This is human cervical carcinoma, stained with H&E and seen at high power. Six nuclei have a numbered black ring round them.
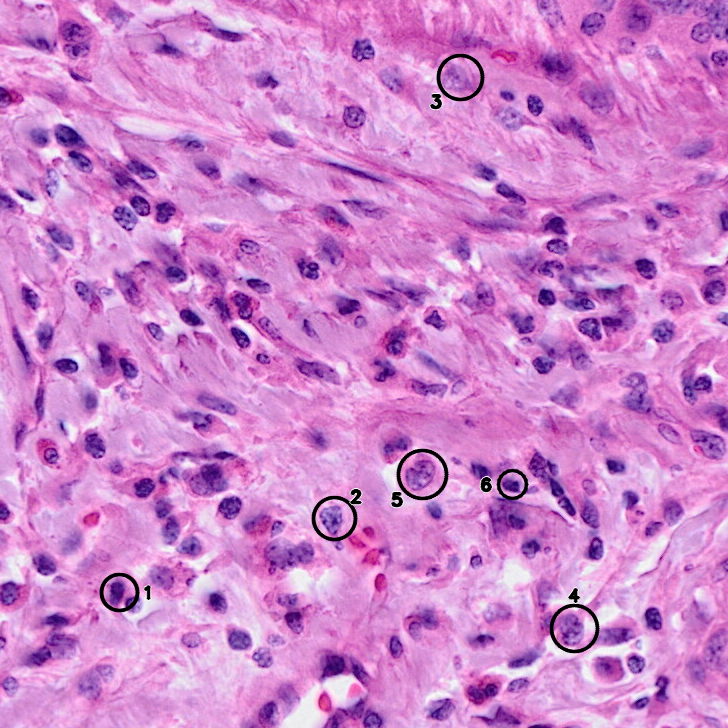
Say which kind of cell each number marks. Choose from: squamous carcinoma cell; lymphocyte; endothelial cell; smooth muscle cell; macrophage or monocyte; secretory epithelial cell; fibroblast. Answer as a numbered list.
1. lymphocyte
2. lymphocyte
3. fibroblast
4. macrophage or monocyte
5. macrophage or monocyte
6. lymphocyte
